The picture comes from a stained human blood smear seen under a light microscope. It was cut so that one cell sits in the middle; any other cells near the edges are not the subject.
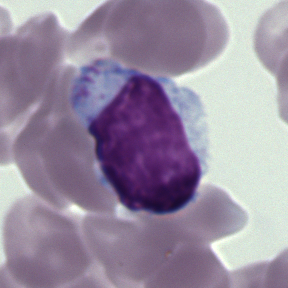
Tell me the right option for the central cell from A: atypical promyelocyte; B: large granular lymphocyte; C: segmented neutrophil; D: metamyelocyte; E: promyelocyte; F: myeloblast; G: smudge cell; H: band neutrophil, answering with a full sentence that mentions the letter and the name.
The correct response is option B, naming the cell in the middle as a large granular lymphocyte.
